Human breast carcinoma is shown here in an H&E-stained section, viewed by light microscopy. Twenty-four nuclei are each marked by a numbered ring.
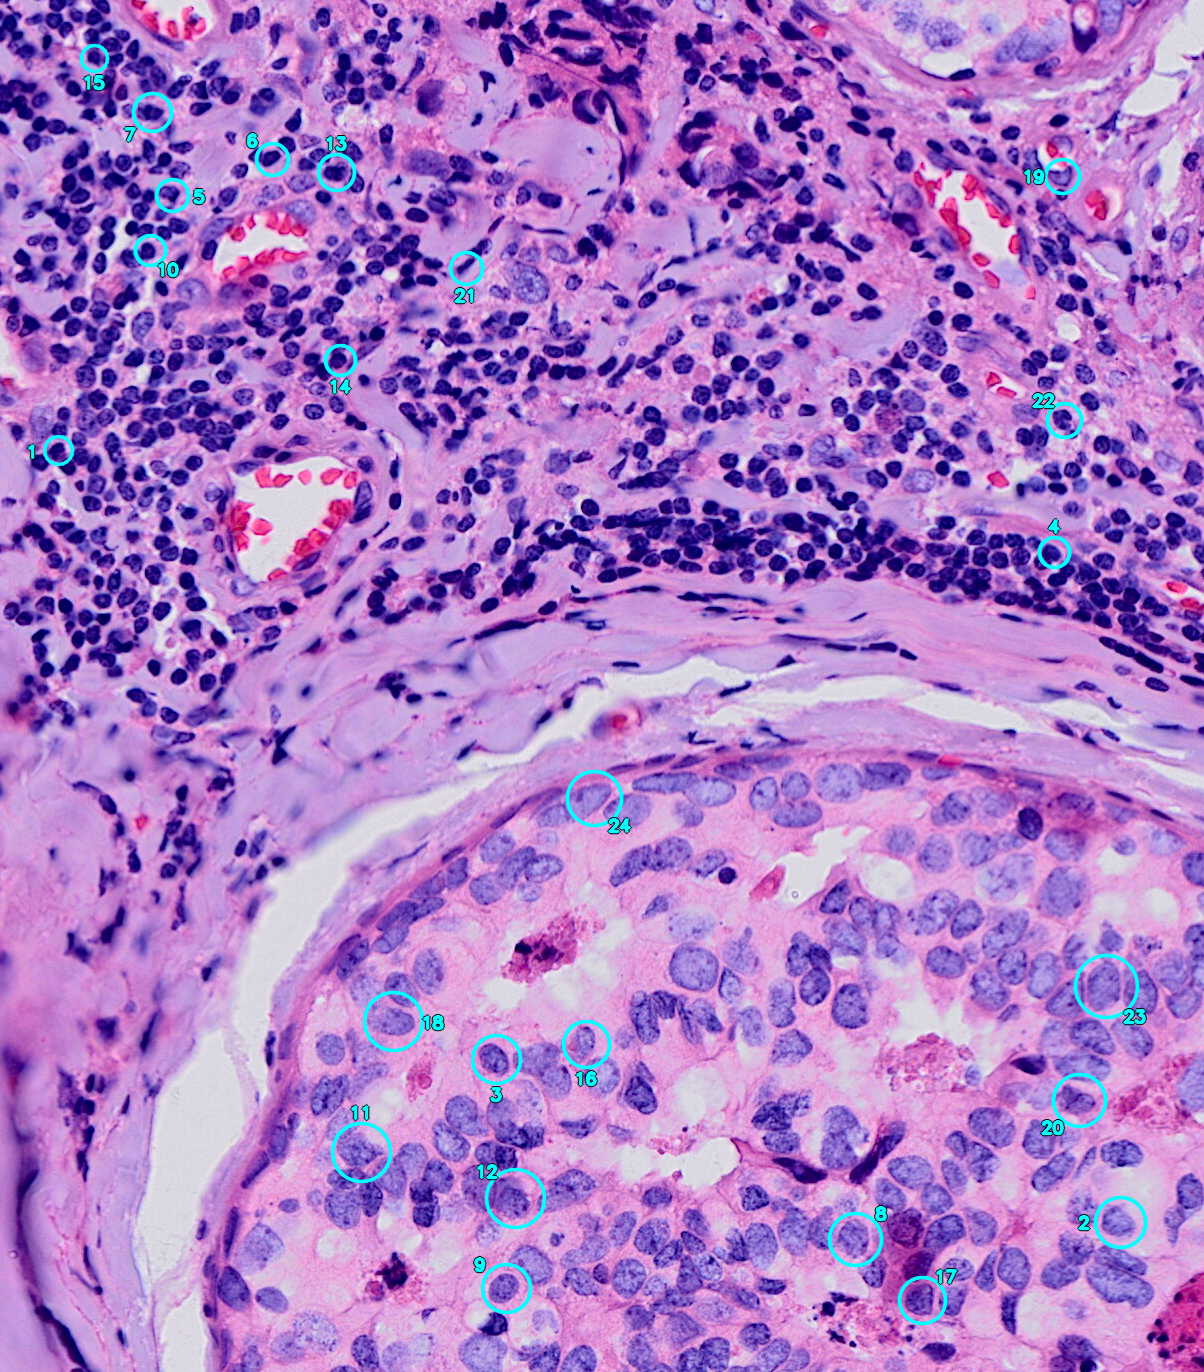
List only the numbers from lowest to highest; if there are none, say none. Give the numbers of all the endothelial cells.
19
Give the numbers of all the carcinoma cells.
2, 3, 8, 9, 11, 12, 16, 17, 18, 20, 23, 24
